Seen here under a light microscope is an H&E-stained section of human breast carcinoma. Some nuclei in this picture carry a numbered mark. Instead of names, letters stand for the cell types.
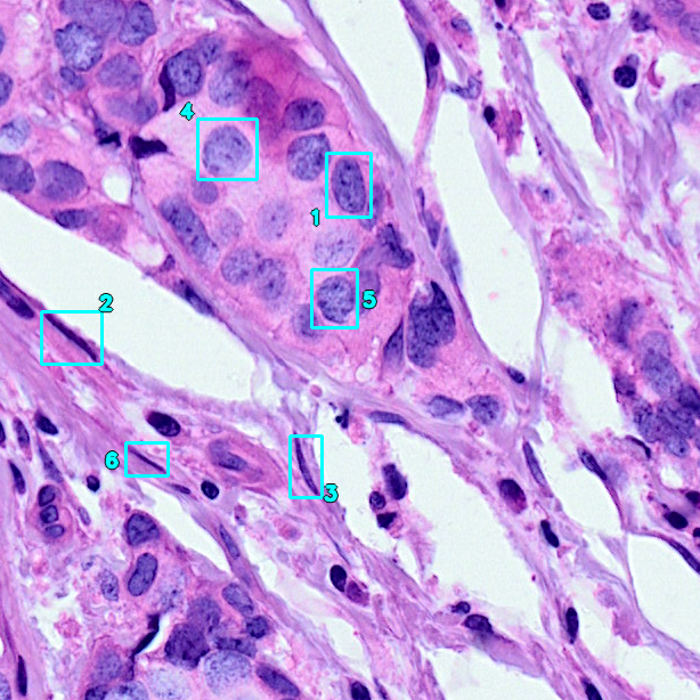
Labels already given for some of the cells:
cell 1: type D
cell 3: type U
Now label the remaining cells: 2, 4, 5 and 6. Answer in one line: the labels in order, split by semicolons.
type U; type D; type D; type U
